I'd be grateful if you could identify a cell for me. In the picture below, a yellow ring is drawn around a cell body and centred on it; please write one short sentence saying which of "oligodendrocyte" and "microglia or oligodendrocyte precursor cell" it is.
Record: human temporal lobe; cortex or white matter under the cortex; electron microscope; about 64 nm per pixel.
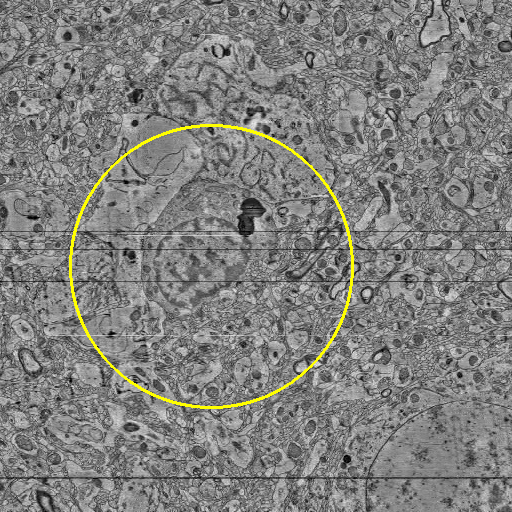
The cell under the ring's centre is an oligodendrocyte.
